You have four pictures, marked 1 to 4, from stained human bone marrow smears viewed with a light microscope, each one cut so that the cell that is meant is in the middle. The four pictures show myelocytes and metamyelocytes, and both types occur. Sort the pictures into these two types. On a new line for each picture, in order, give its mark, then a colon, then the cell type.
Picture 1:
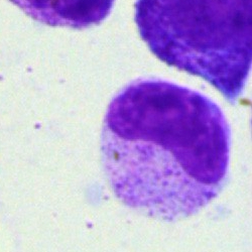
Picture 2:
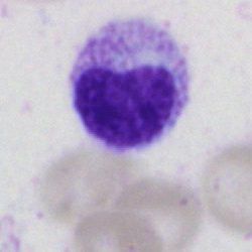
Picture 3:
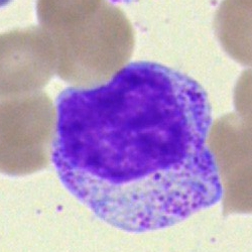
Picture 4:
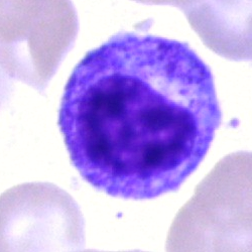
1: metamyelocyte
2: metamyelocyte
3: myelocyte
4: myelocyte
